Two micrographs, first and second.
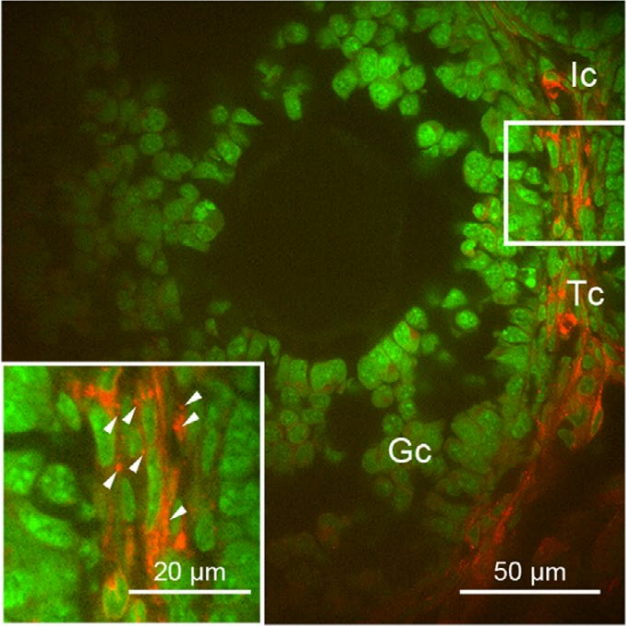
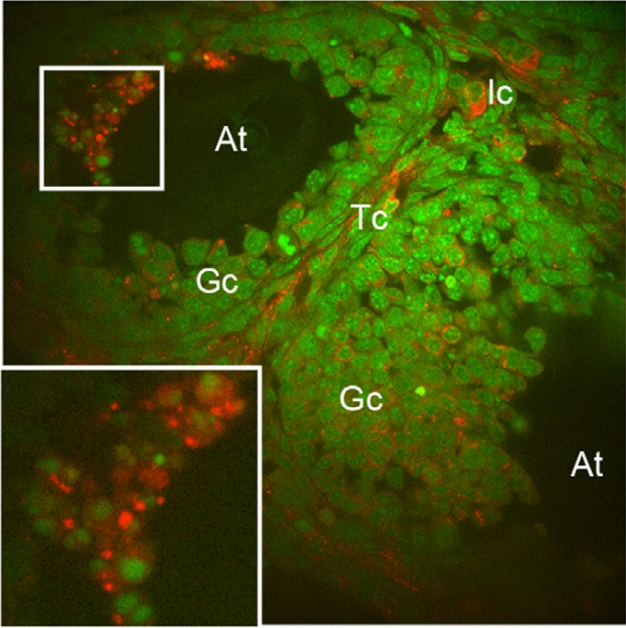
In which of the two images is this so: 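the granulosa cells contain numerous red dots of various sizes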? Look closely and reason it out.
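Second image: the enlarged cluster of loose granulosa cells holds many red dots, small and large. First image: the granulosa cells around the follicle are green with almost no red dots; red lies only in the outer elongated cells. On this evidence: the second image.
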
